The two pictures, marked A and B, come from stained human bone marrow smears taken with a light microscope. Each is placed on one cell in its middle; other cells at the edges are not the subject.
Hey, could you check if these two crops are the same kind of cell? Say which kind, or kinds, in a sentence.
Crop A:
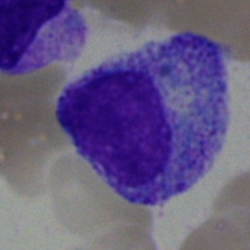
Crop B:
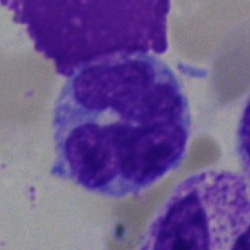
No, crop A shows a myelocyte and crop B shows a monocyte.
